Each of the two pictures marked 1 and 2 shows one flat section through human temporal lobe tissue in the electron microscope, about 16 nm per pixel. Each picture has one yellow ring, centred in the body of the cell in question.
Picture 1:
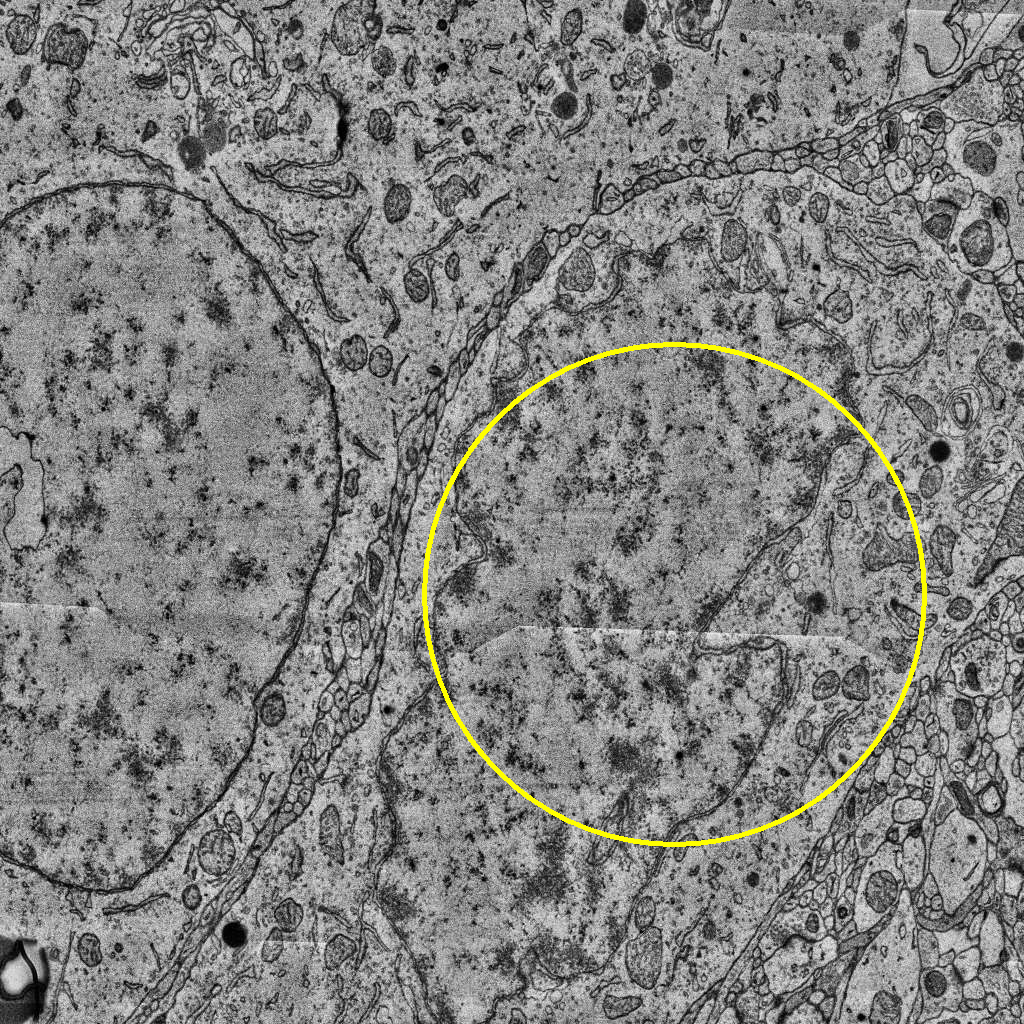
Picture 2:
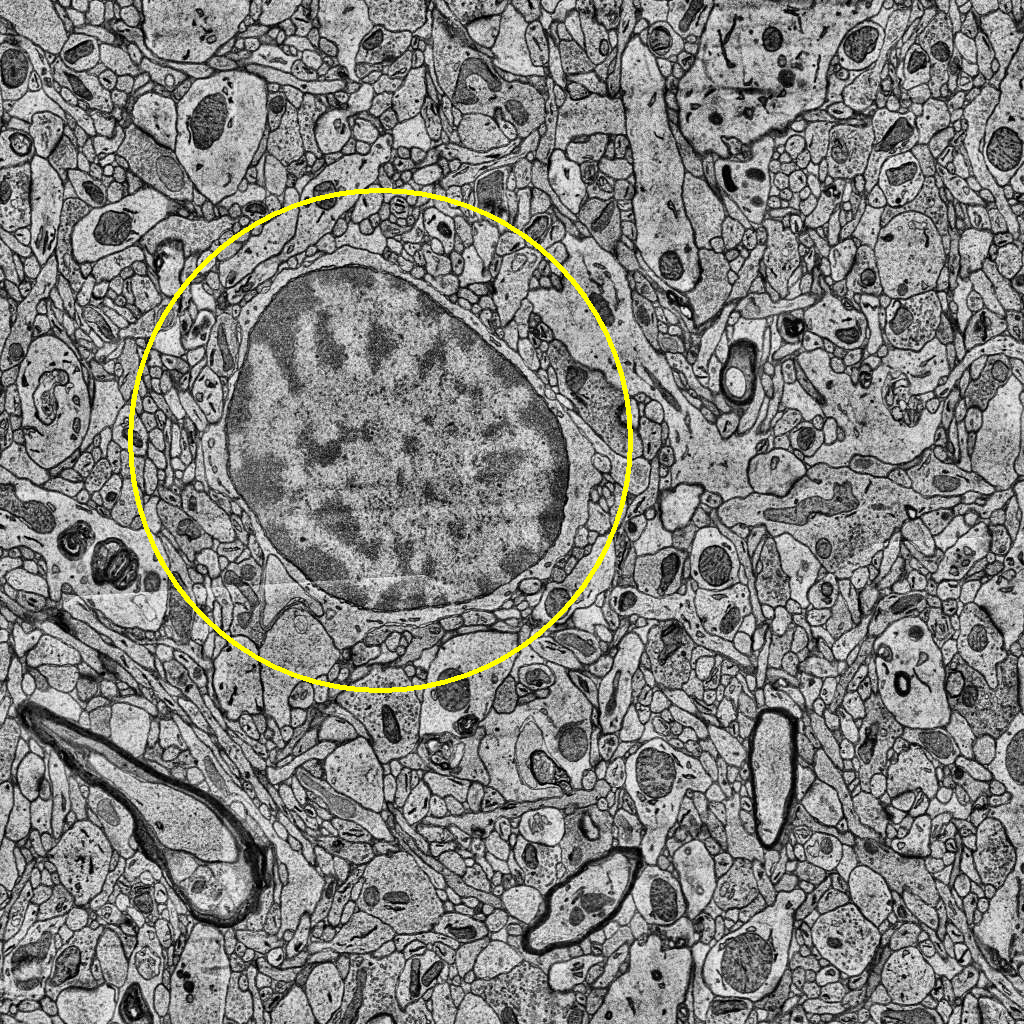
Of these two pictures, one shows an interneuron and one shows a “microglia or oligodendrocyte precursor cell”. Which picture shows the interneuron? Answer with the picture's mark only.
1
